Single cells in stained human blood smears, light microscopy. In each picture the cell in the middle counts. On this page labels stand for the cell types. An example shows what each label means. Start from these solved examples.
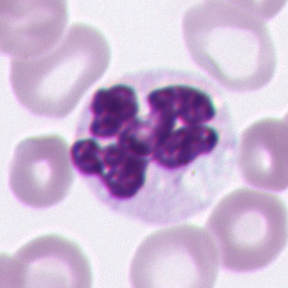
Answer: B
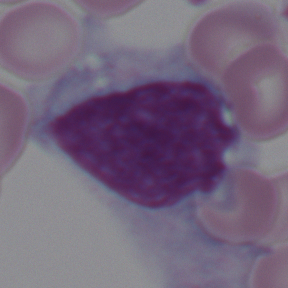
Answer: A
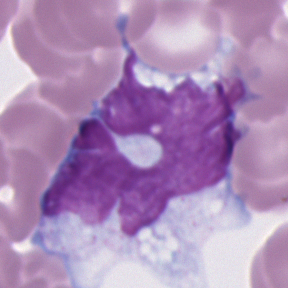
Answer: A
